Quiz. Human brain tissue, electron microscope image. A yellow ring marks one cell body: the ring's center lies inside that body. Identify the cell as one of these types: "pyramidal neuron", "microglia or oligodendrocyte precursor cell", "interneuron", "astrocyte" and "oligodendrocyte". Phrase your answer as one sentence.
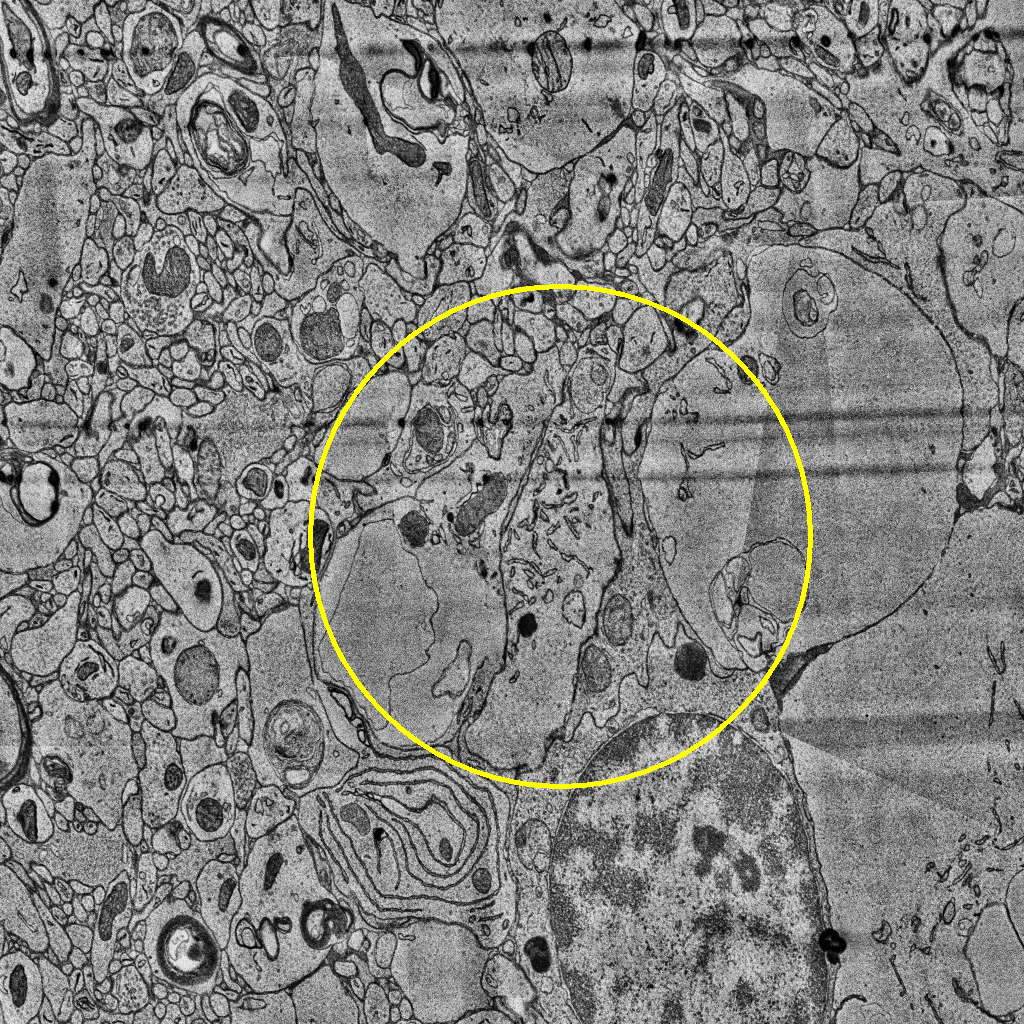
At the center of the ring sits an oligodendrocyte.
